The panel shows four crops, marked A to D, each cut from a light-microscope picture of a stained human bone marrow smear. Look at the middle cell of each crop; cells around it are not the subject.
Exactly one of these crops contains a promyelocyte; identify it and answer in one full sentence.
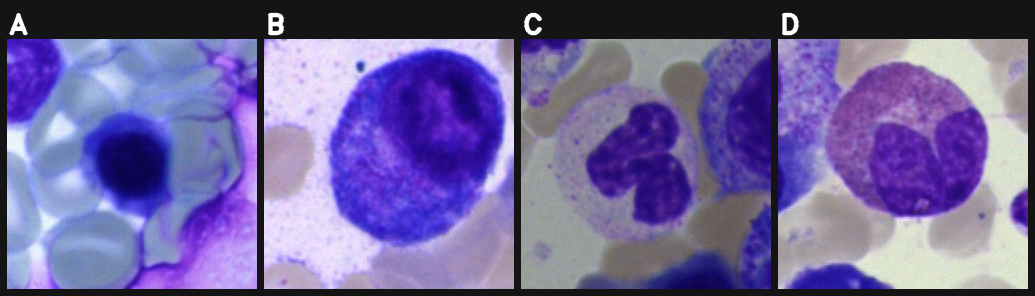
It is in crop B that a promyelocyte is shown.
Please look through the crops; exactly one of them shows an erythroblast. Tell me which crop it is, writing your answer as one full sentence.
The crop that shows an erythroblast is crop A.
